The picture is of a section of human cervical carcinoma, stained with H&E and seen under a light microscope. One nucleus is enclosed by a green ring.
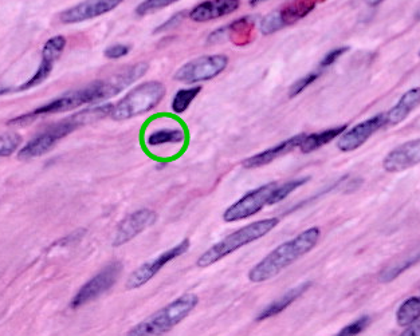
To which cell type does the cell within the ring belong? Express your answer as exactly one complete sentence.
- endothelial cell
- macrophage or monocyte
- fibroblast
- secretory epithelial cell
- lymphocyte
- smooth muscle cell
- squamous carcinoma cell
Assigned to a cell type, the cell within the ring is a lymphocyte.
